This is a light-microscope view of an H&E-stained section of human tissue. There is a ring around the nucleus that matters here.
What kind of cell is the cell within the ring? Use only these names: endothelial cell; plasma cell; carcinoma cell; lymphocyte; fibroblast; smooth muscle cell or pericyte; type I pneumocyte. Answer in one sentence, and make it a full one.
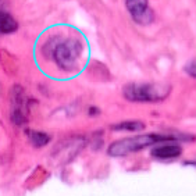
On this particular slide, the cell within the ring is a fibroblast.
